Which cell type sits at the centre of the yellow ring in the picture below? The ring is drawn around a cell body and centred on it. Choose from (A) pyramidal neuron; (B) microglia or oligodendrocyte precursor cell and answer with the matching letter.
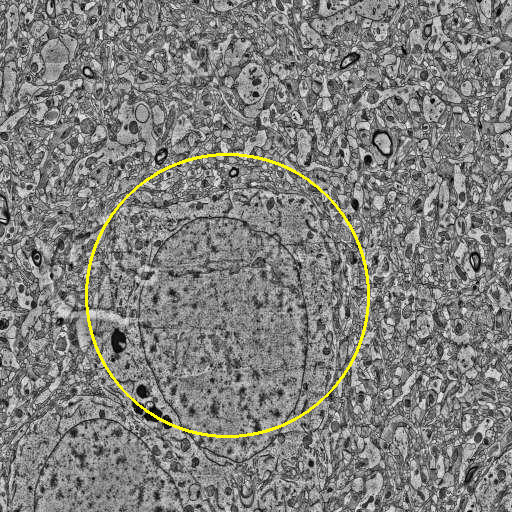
A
